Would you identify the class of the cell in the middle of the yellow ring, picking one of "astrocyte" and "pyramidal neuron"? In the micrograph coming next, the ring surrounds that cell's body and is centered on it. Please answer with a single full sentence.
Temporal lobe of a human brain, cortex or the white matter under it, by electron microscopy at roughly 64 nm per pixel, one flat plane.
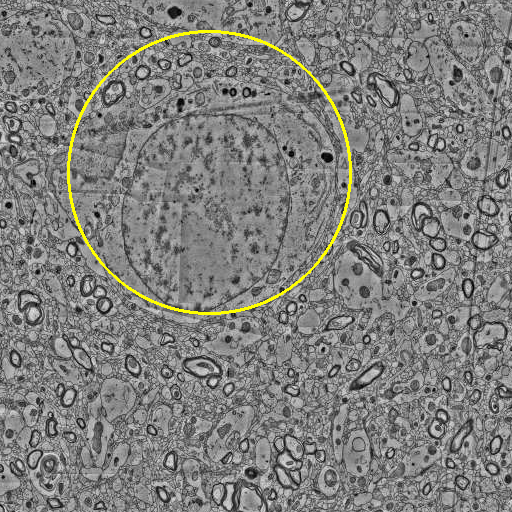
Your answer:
In the micrograph, it is a pyramidal neuron whose body lies at the ring's center.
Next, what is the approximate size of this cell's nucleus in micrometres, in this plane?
The ringed cell's nucleus is about 13 micrometres long and 11 micrometres wide in this plane.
